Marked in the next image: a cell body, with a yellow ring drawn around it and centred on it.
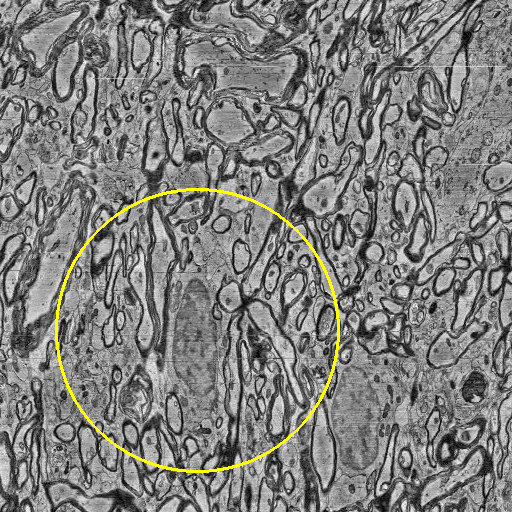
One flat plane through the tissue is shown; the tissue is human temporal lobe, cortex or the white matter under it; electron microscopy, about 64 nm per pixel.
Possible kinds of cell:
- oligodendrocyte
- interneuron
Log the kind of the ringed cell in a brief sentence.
The ringed cell body is that of an oligodendrocyte.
